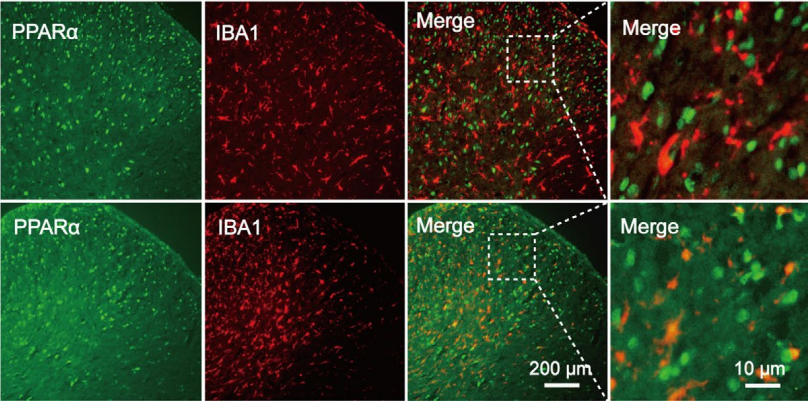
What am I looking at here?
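Green label marks round to oval, nucleus-sized spots distributed densely across the grey matter. In the enlarged merge views the green spots and red microglia mostly lie side by side and do not overlap. The lower row shows a brighter, more diffuse green background with the red cells still distinct.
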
